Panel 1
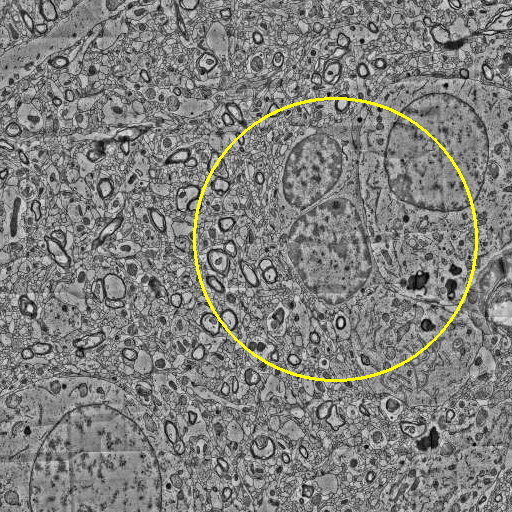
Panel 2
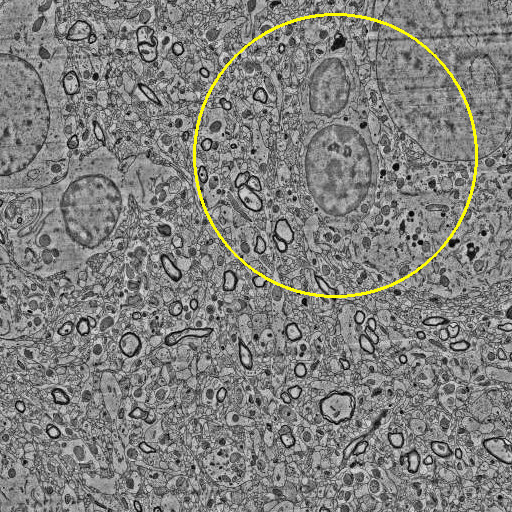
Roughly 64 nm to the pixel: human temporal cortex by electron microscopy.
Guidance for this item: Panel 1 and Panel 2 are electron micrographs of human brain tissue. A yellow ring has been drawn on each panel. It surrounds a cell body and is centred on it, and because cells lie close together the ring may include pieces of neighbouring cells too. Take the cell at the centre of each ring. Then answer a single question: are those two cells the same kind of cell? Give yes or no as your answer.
yes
